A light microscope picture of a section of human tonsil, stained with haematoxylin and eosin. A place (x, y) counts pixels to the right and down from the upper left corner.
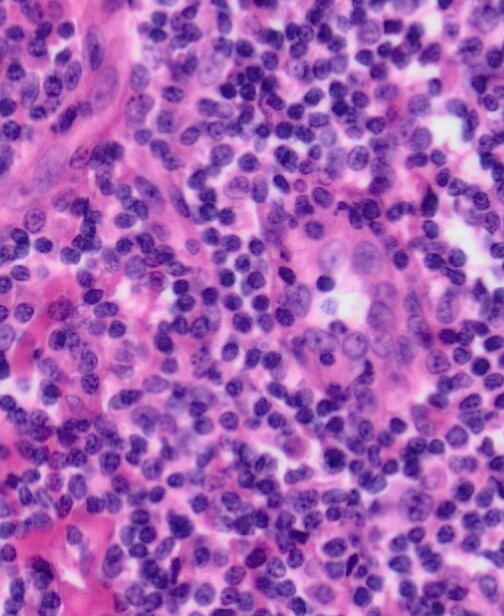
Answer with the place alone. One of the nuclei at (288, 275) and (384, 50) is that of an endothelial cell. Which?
(288, 275)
